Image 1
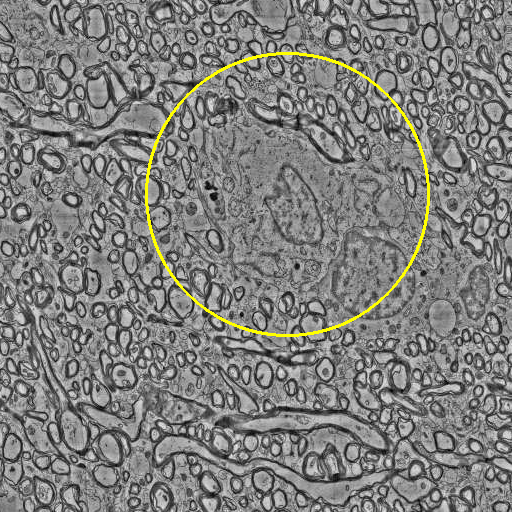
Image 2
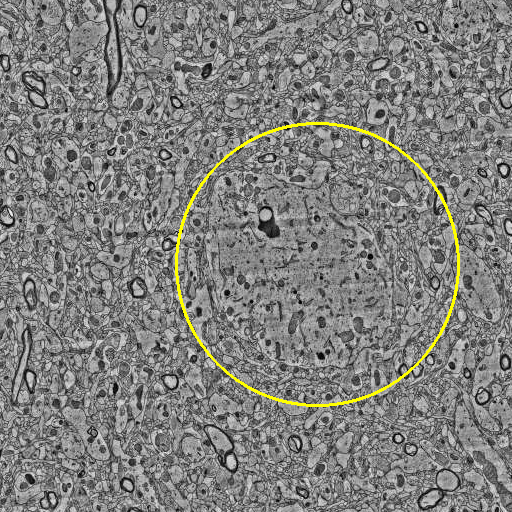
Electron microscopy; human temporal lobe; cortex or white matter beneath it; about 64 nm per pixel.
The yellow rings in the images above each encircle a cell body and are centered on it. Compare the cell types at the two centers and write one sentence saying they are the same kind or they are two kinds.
Taken together, the two cells at the ring centers are the same kind.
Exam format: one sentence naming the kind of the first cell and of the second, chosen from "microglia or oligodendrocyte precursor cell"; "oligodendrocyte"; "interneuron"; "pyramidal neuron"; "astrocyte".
Each of the two cells is a pyramidal neuron.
